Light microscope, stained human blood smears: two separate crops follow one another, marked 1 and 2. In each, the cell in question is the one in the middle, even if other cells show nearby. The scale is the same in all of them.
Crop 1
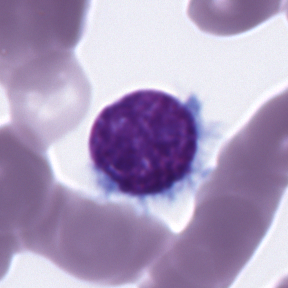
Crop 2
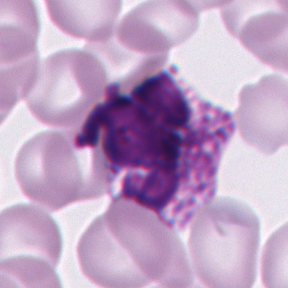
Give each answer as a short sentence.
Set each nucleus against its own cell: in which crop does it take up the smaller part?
It is the cell in crop 2 that is filled less by its nucleus.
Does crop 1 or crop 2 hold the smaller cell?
Crop 1 holds the smaller cell, since the cell in crop 2 covers about 1.5 times as much area.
